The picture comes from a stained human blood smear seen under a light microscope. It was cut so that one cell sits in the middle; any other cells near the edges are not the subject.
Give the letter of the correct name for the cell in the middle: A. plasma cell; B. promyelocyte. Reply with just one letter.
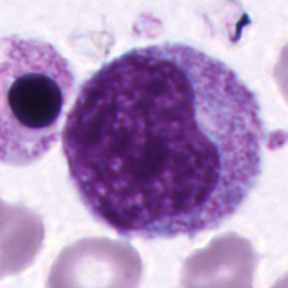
B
